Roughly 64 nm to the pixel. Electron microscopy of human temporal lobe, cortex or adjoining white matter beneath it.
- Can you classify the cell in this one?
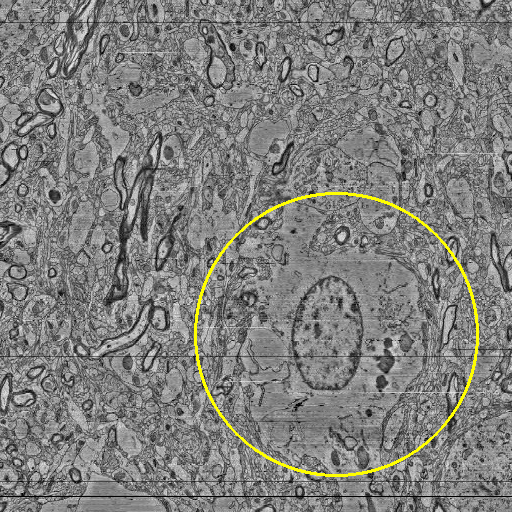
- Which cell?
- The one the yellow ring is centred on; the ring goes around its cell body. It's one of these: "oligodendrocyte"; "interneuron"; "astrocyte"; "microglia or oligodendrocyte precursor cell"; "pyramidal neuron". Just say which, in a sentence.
The cell body in the ring belongs to an astrocyte.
